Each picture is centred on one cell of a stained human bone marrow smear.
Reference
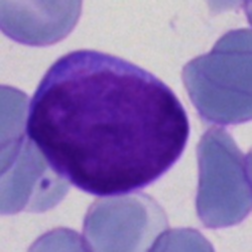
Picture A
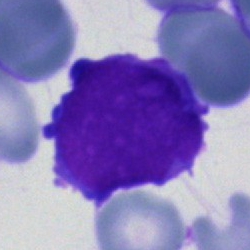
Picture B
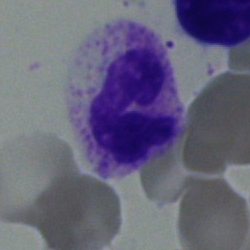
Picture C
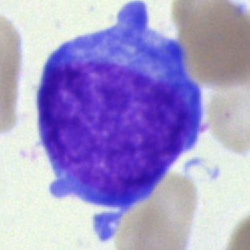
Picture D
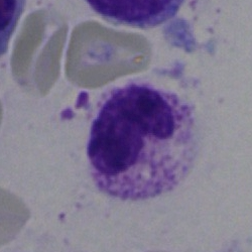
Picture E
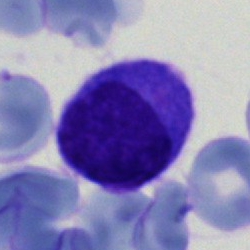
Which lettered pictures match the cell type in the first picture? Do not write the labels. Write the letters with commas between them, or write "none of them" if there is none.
A, C, E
